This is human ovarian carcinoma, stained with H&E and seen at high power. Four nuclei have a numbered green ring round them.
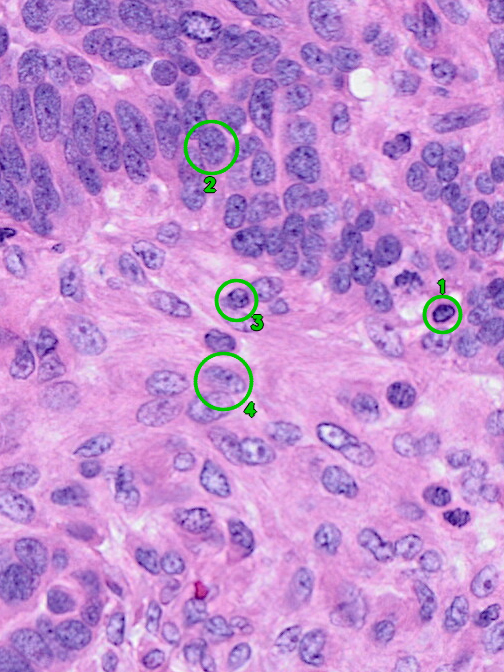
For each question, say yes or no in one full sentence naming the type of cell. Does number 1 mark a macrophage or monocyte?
Yes, the cell to which number 1 refers is a macrophage or monocyte.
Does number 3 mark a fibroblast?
No, cell 3 is not a fibroblast, but is instead a macrophage or monocyte.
